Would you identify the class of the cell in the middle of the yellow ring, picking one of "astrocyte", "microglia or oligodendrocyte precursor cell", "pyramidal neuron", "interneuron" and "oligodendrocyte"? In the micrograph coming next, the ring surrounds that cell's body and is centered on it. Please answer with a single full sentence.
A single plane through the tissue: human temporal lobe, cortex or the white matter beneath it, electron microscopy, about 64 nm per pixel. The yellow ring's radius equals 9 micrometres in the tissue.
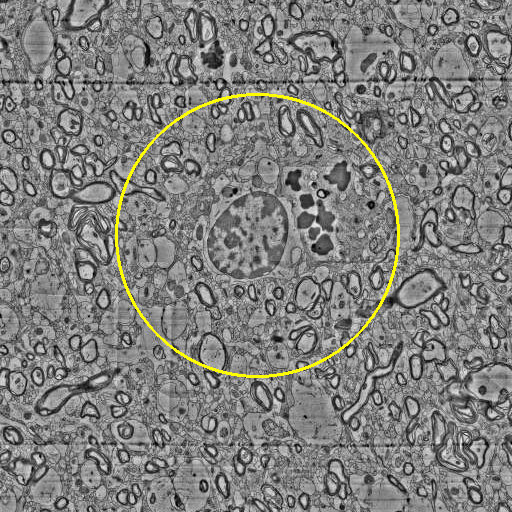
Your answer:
In the micrograph, it is a microglial cell or oligodendrocyte precursor cell whose body lies at the ring's center.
